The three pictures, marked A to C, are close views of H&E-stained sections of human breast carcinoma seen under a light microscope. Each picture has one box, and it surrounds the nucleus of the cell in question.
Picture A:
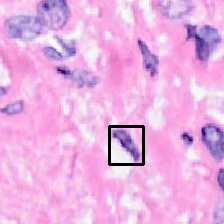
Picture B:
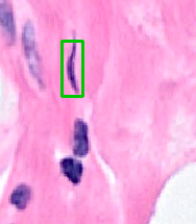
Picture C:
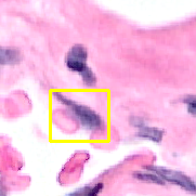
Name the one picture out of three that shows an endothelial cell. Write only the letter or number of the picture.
C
